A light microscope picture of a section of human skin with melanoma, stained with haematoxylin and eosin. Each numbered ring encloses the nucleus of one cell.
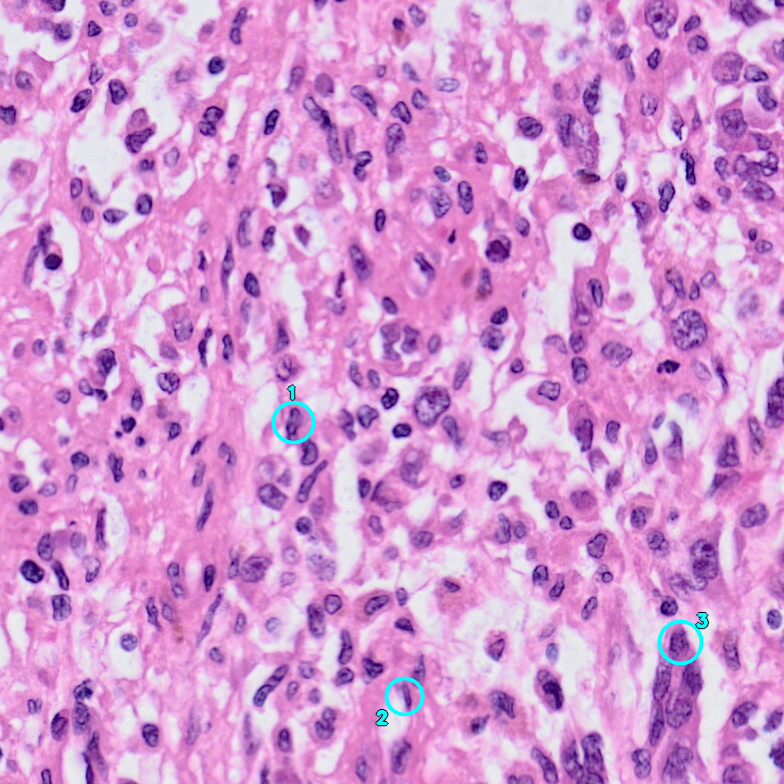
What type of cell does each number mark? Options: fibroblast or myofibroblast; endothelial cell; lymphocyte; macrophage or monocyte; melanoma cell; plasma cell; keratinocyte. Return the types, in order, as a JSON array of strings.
["macrophage or monocyte", "endothelial cell", "melanoma cell"]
